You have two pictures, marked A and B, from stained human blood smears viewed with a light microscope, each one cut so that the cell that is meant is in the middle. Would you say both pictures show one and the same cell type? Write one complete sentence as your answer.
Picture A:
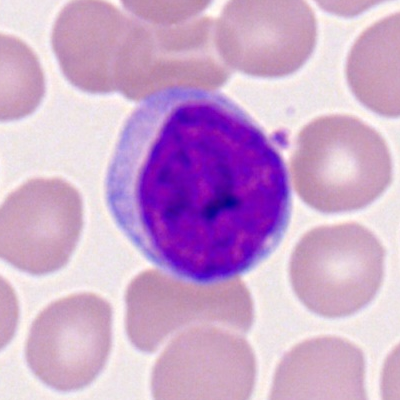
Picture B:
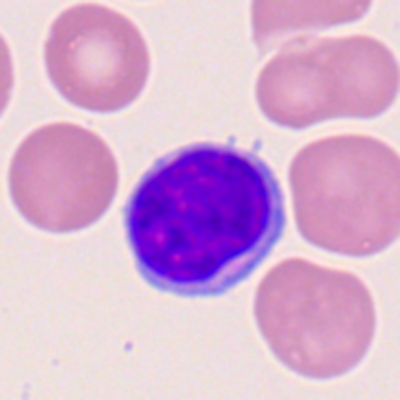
Yes, they are the same type: both are lymphocytes.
